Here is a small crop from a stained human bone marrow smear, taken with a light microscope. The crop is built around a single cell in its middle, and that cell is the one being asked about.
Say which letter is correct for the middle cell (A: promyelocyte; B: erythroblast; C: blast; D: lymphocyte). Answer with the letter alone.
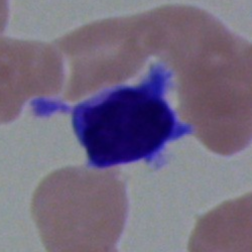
D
